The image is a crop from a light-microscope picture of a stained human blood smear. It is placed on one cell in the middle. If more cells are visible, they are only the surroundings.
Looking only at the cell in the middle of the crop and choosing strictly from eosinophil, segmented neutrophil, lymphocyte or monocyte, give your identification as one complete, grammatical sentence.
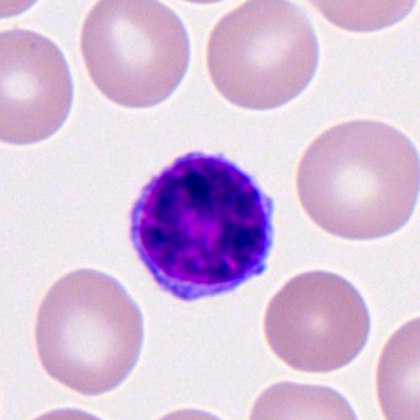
The central cell shown in this smear crop is a lymphocyte.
